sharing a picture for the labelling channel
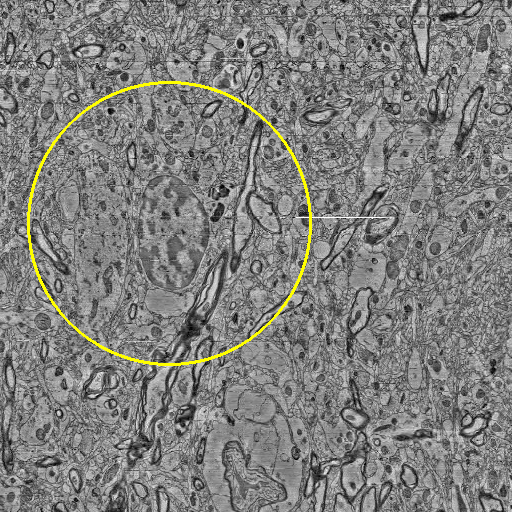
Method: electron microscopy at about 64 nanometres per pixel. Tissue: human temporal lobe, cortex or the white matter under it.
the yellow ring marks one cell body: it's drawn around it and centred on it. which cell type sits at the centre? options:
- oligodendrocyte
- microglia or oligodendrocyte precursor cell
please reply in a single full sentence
In the picture, the cell at the ring's centre is a microglial cell or oligodendrocyte precursor cell, going by the list.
